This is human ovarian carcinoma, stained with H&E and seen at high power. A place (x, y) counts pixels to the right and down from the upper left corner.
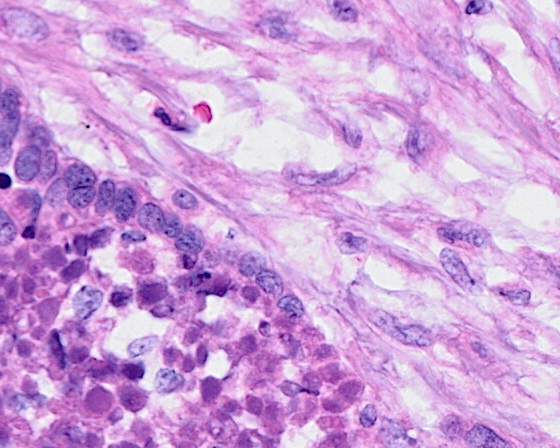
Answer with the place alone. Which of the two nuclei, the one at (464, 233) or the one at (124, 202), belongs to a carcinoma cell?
(124, 202)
